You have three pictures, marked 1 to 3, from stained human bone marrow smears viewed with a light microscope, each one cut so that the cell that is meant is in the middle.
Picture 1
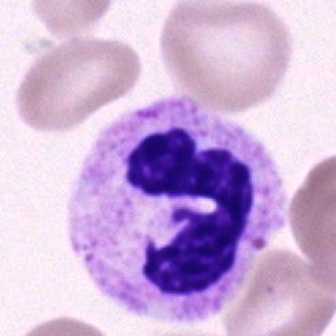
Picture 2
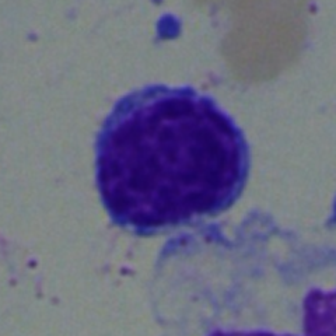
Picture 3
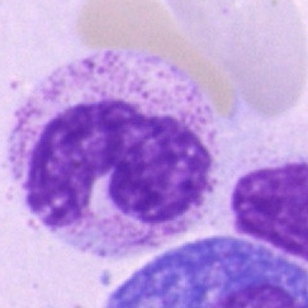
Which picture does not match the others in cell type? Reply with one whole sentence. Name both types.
Picture 2 is the odd one out: it shows a lymphocyte, while the others show segmented neutrophils.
